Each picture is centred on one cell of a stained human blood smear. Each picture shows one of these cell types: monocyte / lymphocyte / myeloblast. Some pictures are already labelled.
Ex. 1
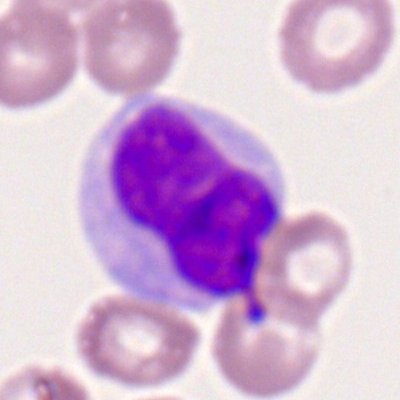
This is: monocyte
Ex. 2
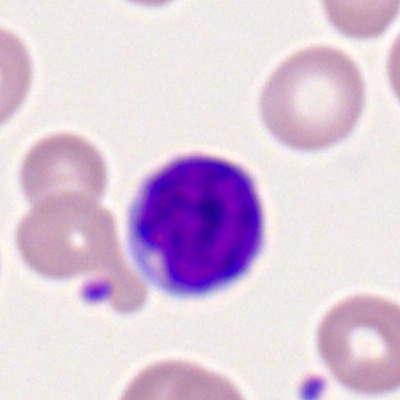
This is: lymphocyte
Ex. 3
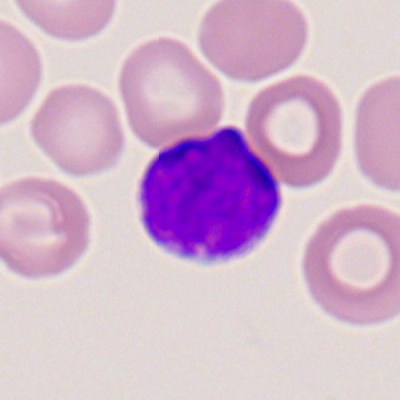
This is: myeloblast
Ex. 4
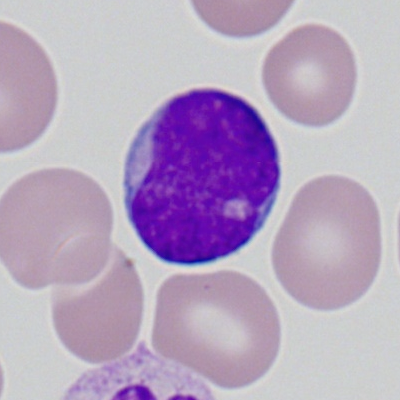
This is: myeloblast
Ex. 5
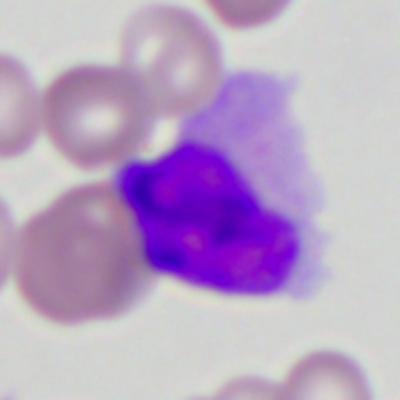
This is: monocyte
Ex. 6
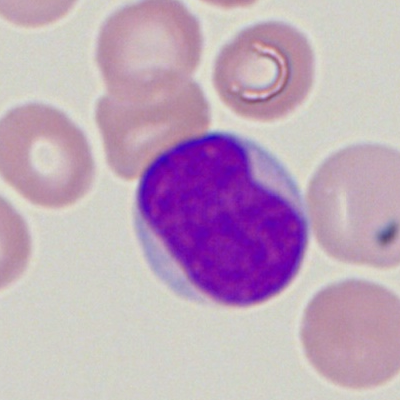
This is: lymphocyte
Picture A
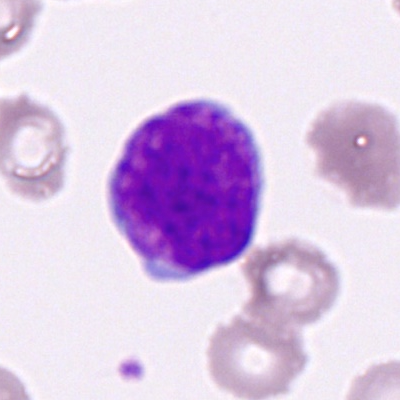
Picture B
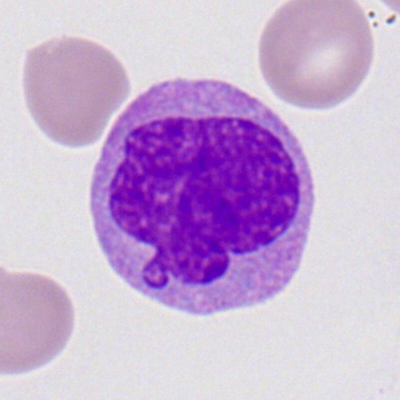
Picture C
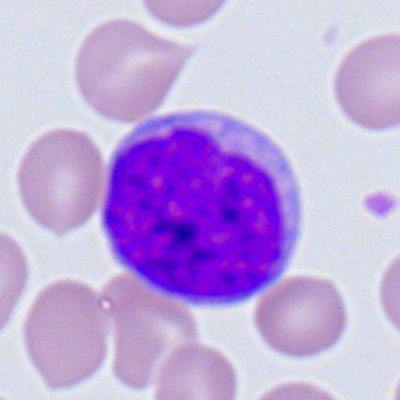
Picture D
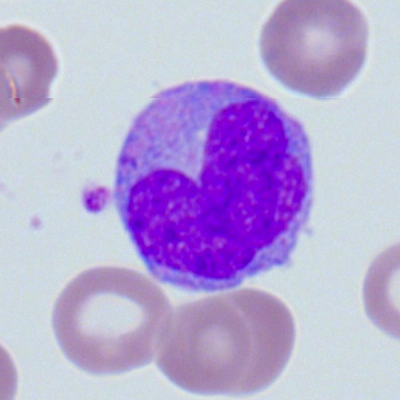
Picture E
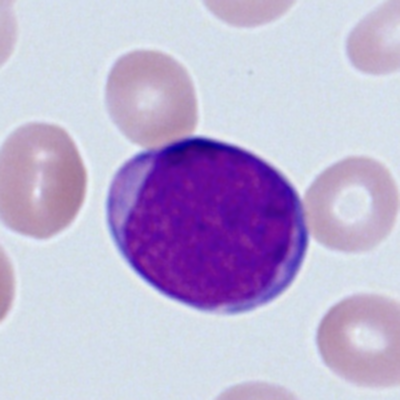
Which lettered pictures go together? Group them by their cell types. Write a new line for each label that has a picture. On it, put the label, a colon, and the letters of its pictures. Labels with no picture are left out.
monocyte: B, D
myeloblast: A, C, E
